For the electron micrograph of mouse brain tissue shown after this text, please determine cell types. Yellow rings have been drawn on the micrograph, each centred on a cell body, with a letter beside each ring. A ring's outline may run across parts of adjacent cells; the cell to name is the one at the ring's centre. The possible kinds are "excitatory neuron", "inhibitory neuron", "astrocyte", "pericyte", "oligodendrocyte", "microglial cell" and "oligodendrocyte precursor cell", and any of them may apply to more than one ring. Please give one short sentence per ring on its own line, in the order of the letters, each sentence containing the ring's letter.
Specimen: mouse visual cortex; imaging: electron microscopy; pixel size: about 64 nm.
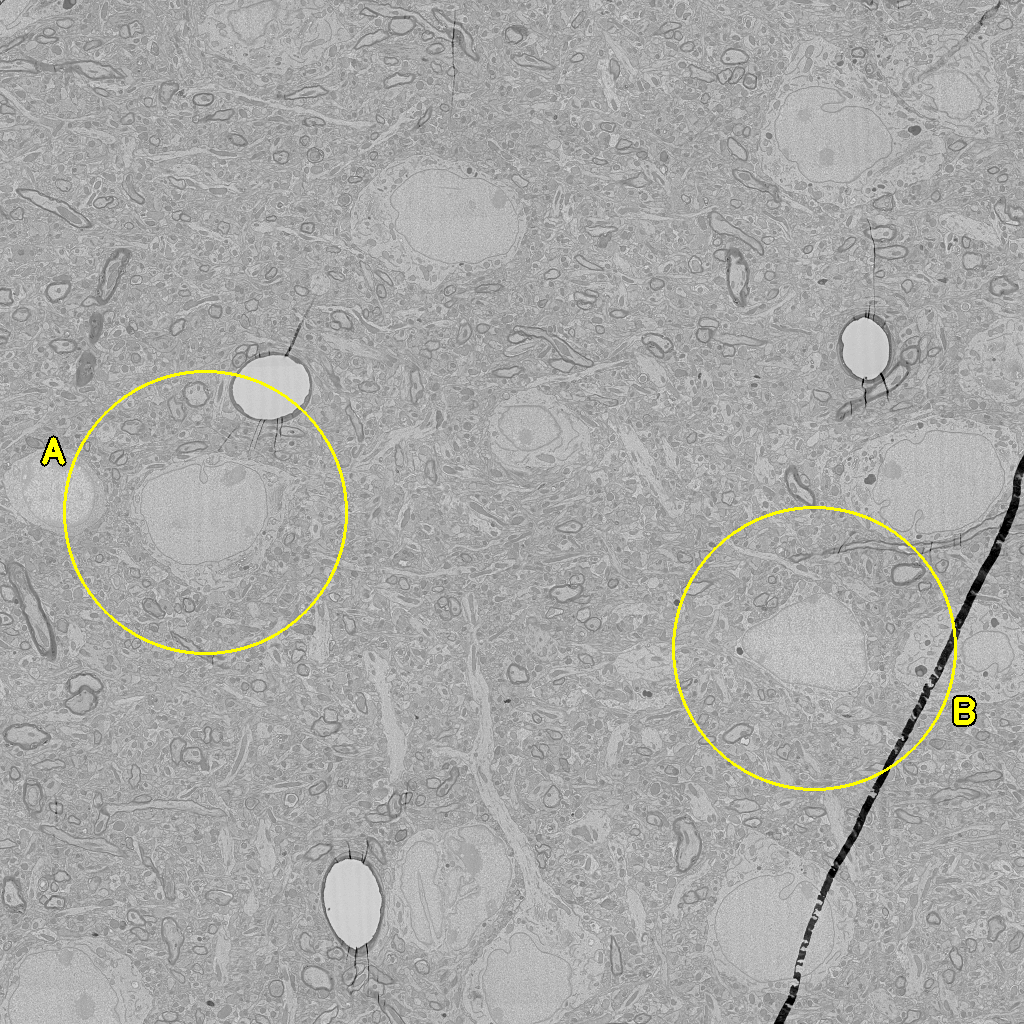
Ring A is set around an excitatory neuron.
Ring B is set around an astrocyte.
